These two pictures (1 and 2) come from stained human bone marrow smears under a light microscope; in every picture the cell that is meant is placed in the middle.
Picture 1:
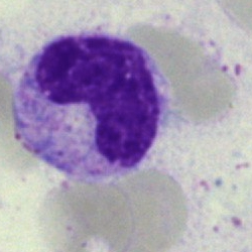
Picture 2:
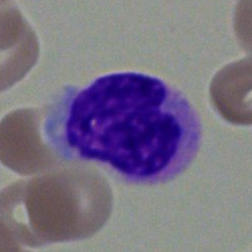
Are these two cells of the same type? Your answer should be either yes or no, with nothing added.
yes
